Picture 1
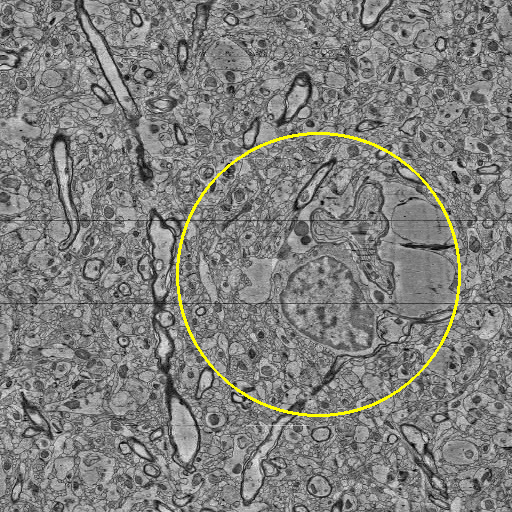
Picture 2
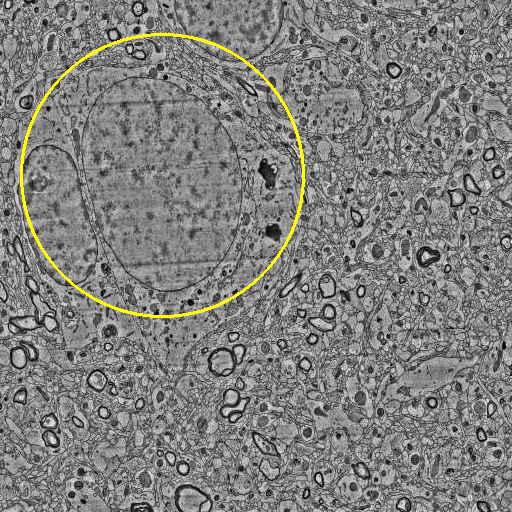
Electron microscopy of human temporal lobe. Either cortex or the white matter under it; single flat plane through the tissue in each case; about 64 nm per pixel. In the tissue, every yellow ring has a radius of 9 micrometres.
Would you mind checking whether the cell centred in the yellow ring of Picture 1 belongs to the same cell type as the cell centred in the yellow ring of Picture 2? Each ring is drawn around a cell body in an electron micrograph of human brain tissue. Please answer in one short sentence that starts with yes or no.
No, the two cells are of two types.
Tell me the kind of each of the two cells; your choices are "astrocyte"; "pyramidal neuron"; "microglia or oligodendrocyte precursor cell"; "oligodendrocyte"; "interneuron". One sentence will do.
The ringed cell is an oligodendrocyte in the first picture and a pyramidal neuron in the second picture.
